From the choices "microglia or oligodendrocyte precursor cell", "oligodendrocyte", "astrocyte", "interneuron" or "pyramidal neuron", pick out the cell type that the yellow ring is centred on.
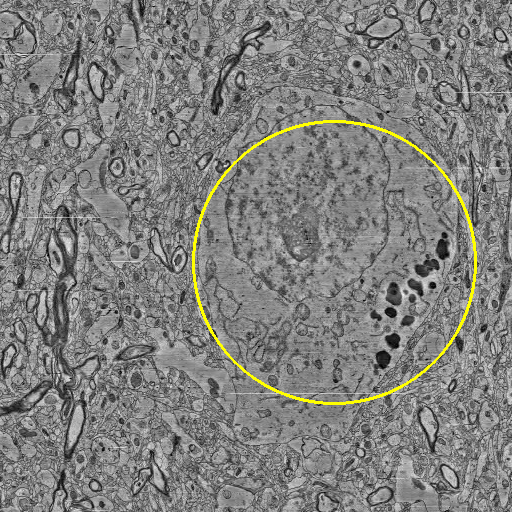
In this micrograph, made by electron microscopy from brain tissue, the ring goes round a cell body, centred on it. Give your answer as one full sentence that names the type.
The yellow ring is centred on an interneuron, whose cell body it encircles in the picture.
